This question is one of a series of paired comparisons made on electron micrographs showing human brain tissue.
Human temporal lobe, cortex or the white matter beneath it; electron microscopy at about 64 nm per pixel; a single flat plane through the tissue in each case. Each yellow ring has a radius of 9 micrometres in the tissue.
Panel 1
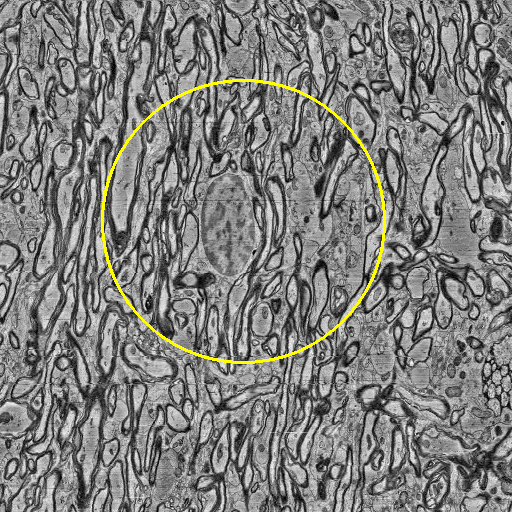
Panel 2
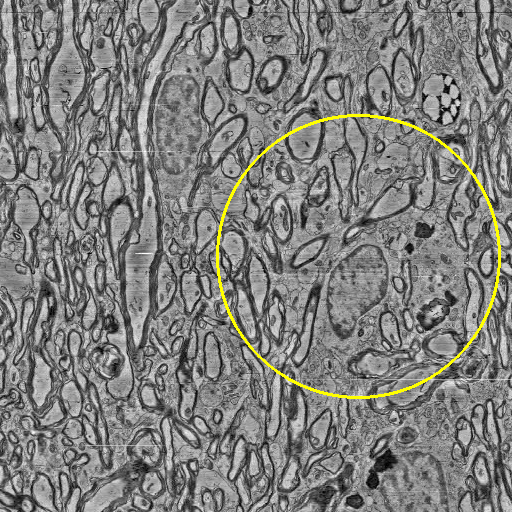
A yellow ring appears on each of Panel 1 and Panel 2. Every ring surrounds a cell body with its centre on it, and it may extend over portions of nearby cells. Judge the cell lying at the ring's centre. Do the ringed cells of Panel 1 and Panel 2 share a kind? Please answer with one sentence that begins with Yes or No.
Yes, the ring-centre cell in Panel 1 and the one in Panel 2 are of one kind.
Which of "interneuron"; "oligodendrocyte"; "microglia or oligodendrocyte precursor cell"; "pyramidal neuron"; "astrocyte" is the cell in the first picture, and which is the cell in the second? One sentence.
Each cell, in the first picture and the second, is a microglial cell or oligodendrocyte precursor cell.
